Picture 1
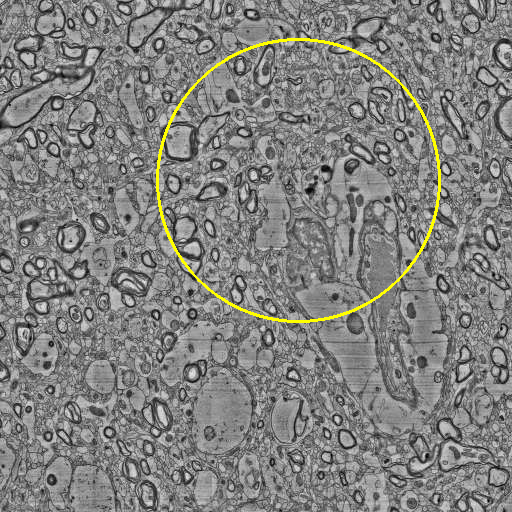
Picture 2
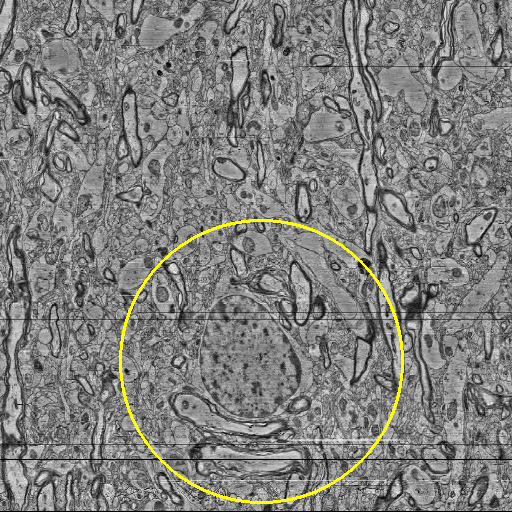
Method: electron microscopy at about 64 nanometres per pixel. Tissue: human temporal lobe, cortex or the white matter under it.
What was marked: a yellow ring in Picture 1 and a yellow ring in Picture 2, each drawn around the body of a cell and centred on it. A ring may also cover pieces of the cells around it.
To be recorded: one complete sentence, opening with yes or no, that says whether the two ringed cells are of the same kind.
Yes, the two ringed cells are of the same kind.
